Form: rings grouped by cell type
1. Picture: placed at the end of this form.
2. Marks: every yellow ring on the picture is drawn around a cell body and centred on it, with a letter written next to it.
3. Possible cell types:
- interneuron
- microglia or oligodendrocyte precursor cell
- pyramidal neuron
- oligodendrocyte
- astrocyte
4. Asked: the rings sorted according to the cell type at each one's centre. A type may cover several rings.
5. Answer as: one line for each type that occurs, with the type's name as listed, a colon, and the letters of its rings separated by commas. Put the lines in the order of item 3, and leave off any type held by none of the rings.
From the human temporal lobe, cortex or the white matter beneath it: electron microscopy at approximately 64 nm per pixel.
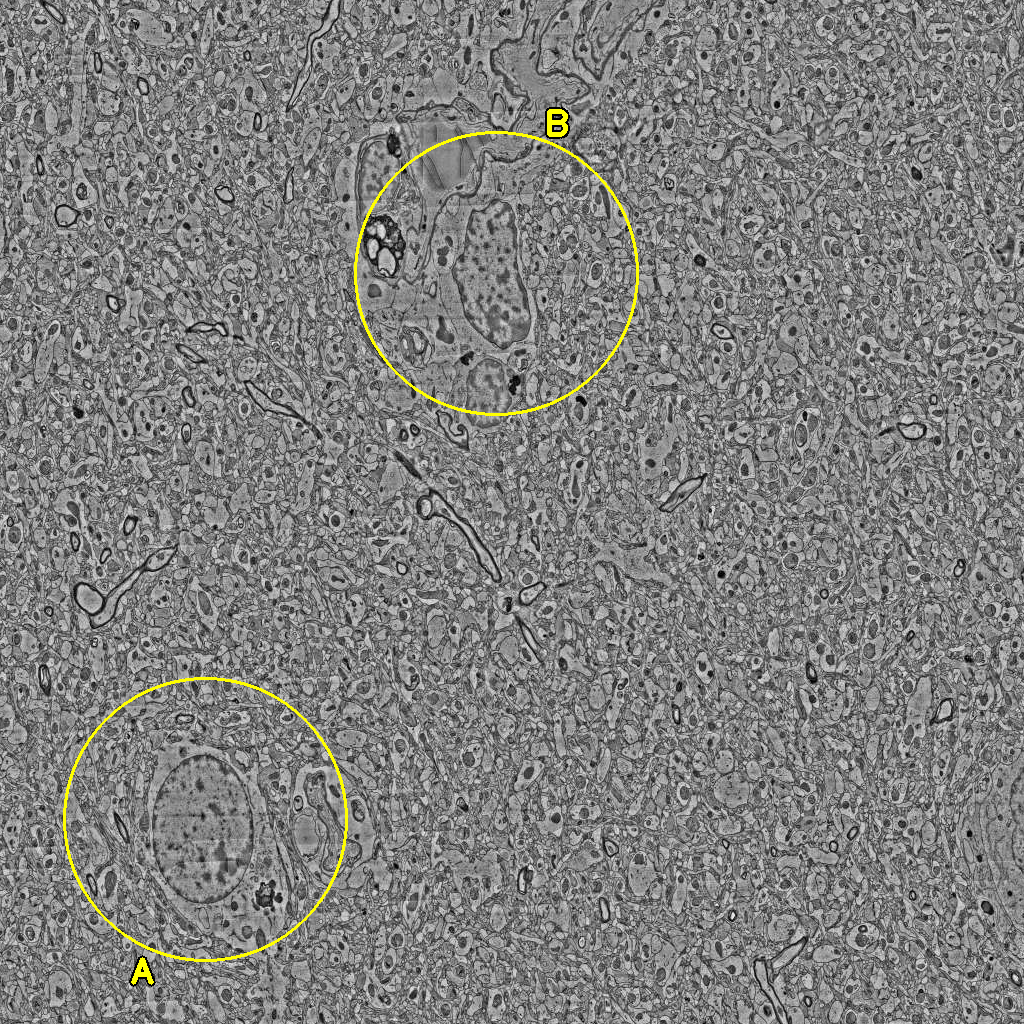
microglia or oligodendrocyte precursor cell: B
astrocyte: A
